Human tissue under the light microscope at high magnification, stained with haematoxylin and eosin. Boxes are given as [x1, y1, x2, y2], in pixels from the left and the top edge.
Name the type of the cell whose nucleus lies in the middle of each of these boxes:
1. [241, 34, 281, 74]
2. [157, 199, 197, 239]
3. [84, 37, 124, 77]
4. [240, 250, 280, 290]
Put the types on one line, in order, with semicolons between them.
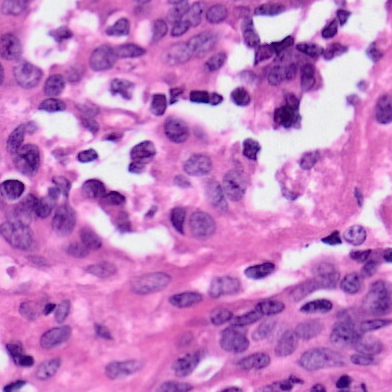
carcinoma cell; carcinoma cell; carcinoma cell; macrophage or monocyte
